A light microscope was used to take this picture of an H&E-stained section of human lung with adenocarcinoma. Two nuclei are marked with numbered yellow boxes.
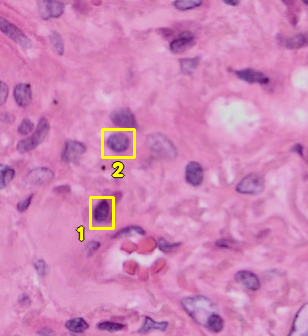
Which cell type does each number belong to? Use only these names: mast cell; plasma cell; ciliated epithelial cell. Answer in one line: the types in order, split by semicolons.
plasma cell; mast cell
